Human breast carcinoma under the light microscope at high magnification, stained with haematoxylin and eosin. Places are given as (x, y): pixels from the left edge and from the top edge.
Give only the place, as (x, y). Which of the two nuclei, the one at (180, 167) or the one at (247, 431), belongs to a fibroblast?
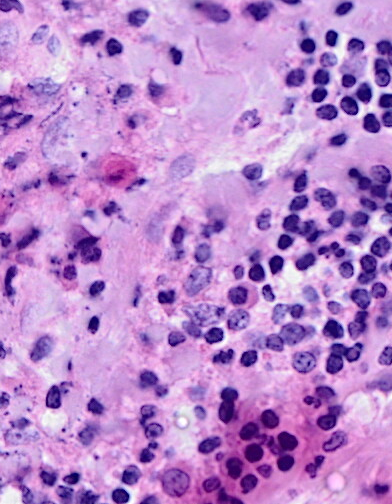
(180, 167)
